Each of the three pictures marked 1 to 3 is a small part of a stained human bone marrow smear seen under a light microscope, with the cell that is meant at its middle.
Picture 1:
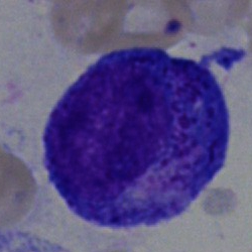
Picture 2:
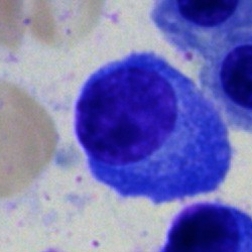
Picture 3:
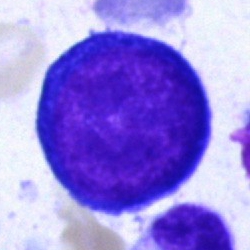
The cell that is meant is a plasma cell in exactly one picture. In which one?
2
